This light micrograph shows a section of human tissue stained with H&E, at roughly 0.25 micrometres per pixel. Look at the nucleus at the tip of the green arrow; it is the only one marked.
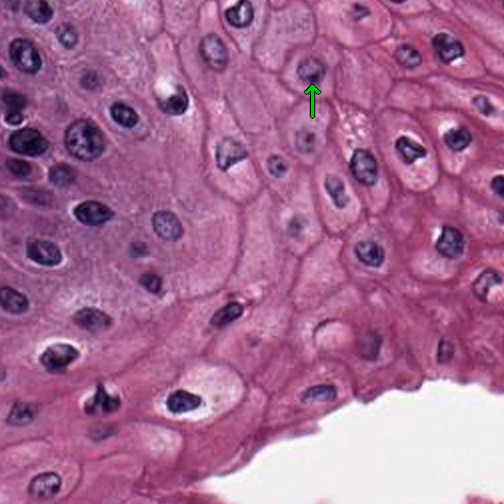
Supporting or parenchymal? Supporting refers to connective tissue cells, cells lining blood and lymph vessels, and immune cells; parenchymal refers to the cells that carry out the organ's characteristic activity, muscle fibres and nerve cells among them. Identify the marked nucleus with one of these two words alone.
parenchymal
